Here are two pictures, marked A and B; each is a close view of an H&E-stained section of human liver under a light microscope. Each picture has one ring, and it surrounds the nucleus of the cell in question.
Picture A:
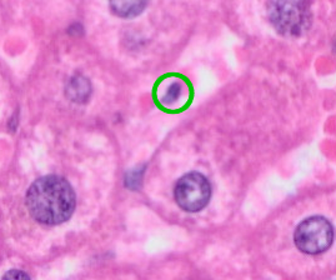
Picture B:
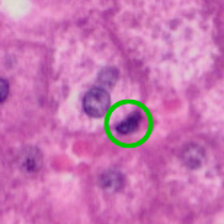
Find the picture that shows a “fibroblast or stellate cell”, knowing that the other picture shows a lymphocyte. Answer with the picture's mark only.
B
